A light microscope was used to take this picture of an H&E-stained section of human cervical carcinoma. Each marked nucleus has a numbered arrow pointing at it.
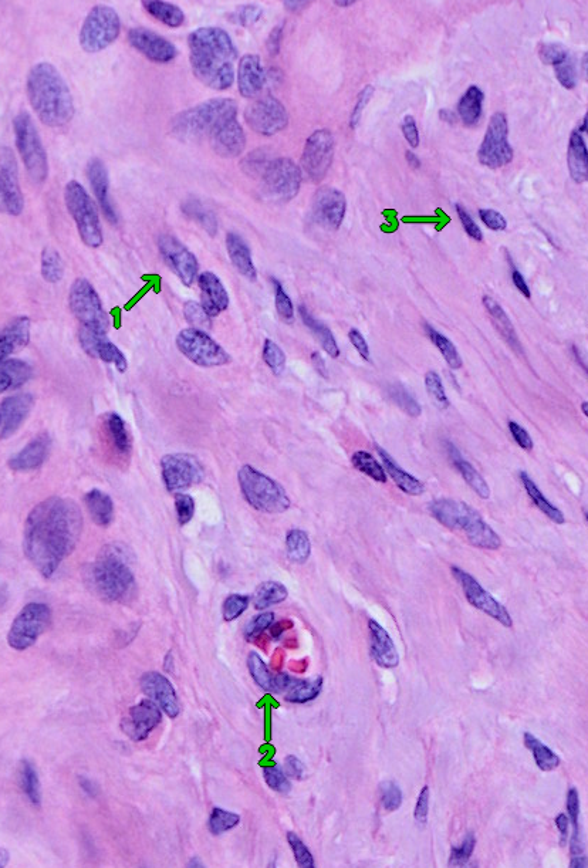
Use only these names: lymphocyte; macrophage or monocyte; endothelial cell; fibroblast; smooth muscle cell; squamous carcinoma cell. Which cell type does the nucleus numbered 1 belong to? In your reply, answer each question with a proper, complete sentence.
The nucleus labeled 1 belongs to an endothelial cell.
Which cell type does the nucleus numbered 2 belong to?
The cell numbered 2 has been identified as an endothelial cell.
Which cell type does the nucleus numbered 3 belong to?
The cell numbered 3 represents a fibroblast.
